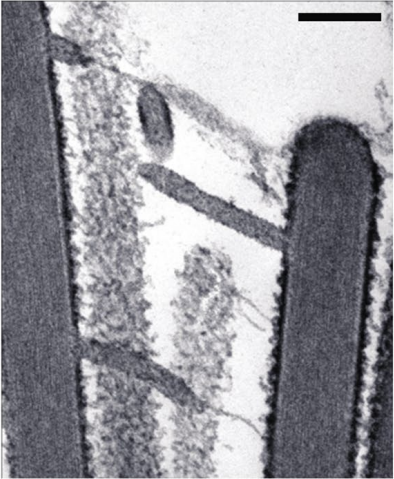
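This electron micrograph shows stereocilia of a hair cell as long dense rods lying side by side, the one on the right ending in a rounded tip. Between the rods lies loose, fluffy material that is paler than the rods themselves.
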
